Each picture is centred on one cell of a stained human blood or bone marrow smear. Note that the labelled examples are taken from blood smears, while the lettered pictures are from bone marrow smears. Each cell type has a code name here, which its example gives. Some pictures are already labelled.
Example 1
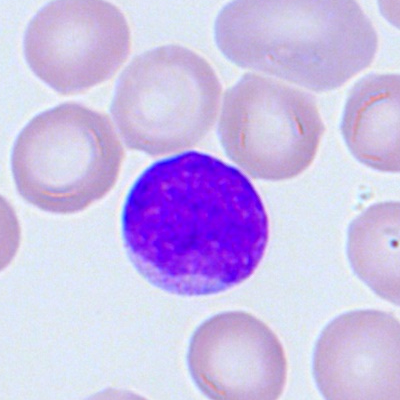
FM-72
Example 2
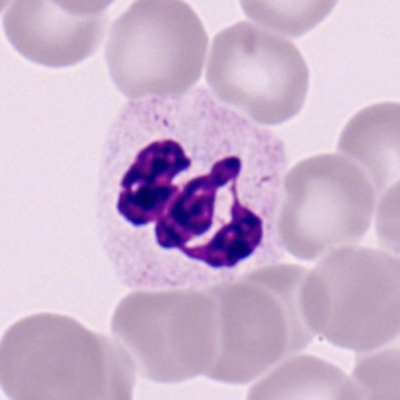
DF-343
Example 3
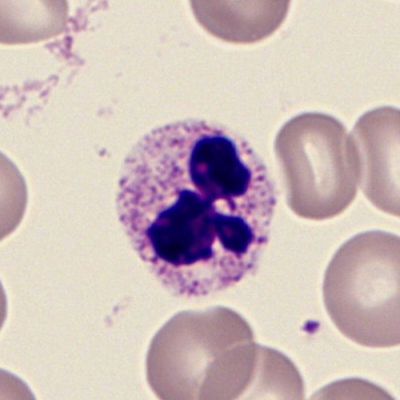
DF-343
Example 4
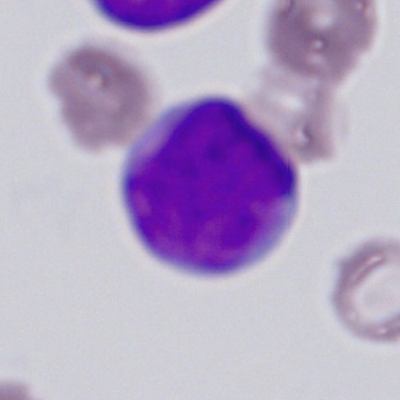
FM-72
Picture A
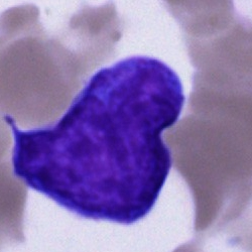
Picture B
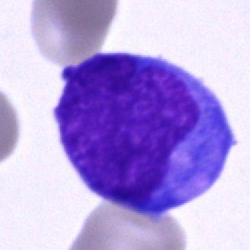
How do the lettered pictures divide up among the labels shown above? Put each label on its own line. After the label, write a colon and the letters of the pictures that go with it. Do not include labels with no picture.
FM-72: A, B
